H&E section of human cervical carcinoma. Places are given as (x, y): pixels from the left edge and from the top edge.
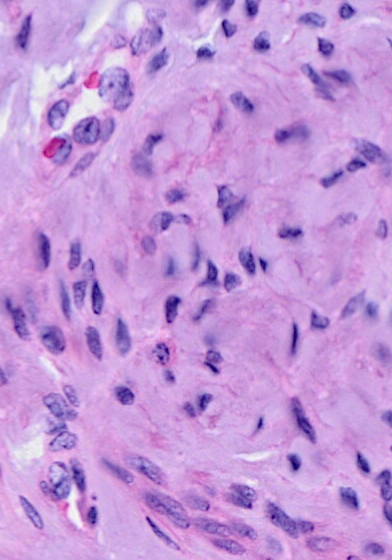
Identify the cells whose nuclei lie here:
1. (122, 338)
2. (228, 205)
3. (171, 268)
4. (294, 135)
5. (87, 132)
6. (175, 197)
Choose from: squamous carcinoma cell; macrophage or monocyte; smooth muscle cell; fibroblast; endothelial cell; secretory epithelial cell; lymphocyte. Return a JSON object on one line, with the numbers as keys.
{"1": "fibroblast", "2": "fibroblast", "3": "fibroblast", "4": "fibroblast", "5": "endothelial cell", "6": "smooth muscle cell"}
